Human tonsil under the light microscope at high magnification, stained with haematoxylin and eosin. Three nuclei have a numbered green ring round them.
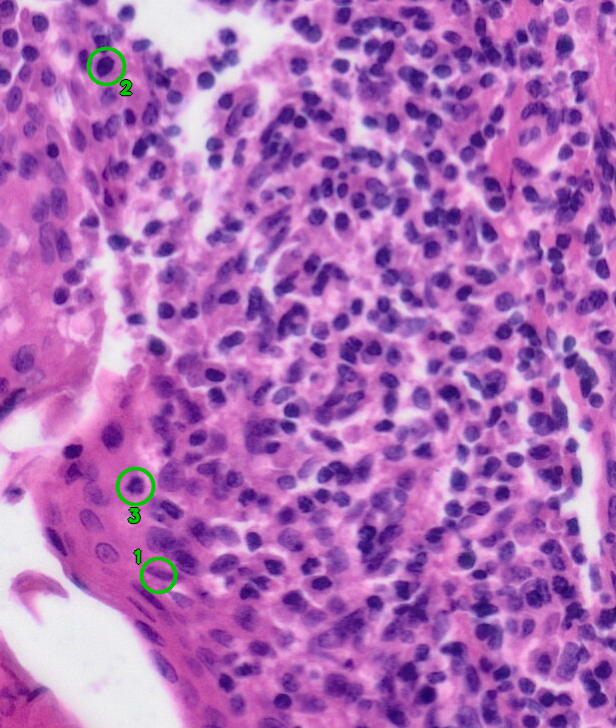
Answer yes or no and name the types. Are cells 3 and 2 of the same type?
No; cell 3 is a squamous epithelial cell, and cell 2 is a plasma cell.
